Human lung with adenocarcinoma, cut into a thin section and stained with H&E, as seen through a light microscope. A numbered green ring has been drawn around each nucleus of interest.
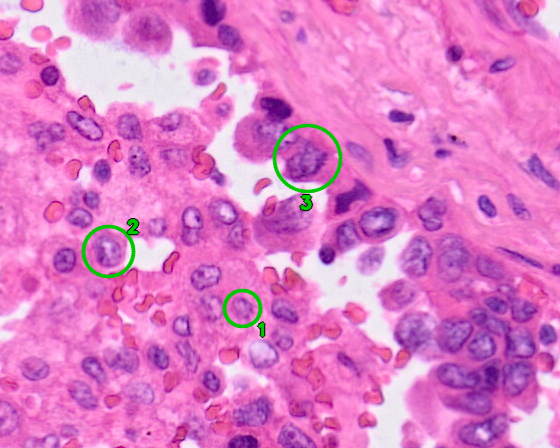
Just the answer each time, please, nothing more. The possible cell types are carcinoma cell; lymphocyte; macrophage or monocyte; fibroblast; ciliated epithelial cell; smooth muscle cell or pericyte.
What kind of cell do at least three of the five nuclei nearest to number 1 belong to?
macrophage or monocyte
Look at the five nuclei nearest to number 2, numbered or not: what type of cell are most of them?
macrophage or monocyte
